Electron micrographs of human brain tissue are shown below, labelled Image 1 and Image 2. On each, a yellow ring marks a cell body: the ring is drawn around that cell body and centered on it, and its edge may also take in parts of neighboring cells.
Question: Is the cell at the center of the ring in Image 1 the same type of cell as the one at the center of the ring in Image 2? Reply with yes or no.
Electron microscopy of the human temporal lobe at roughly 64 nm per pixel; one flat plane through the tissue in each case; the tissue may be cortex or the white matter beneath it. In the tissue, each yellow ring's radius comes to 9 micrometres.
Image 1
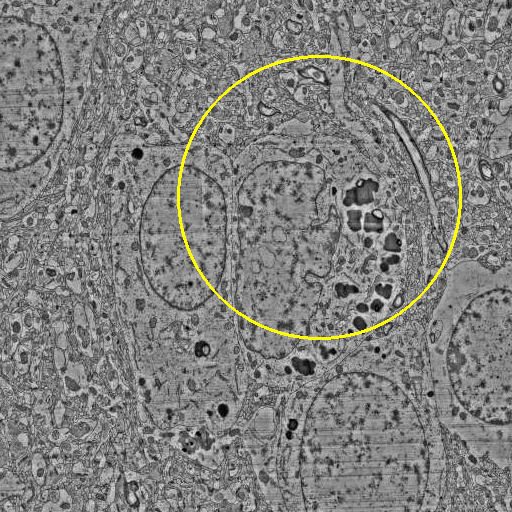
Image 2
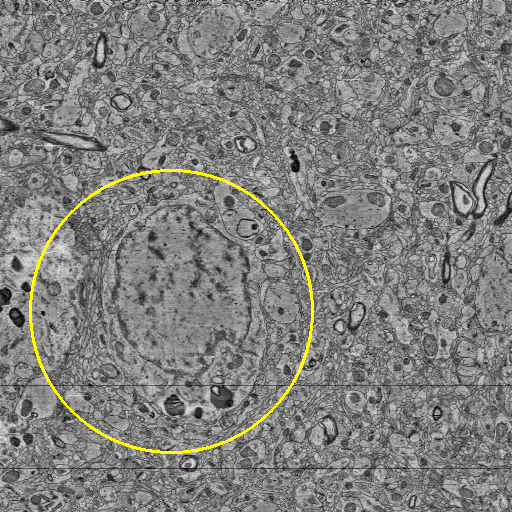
yes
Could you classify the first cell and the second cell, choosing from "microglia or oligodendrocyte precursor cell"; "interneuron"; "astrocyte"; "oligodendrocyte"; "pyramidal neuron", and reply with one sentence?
In each of the two pictures, the ringed cell is an interneuron.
